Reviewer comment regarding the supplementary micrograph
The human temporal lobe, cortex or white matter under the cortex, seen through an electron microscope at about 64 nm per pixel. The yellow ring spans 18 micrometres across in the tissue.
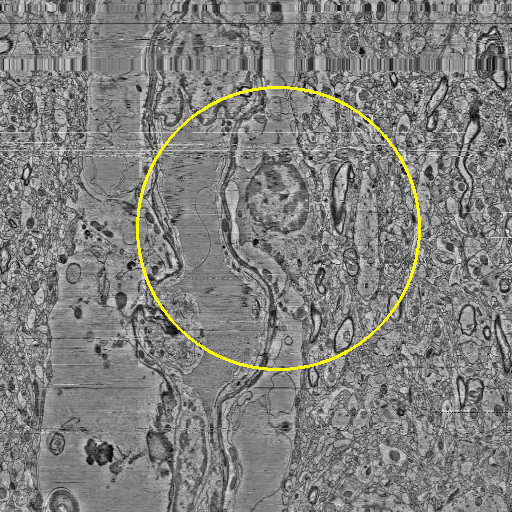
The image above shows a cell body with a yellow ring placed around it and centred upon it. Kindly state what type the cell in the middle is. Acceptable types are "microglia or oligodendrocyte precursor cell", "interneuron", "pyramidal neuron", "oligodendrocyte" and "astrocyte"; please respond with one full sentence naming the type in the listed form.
In the image above, the cell on which the yellow ring is centred is an oligodendrocyte.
